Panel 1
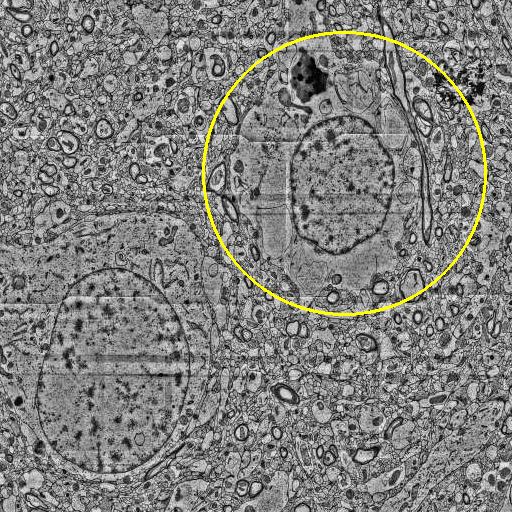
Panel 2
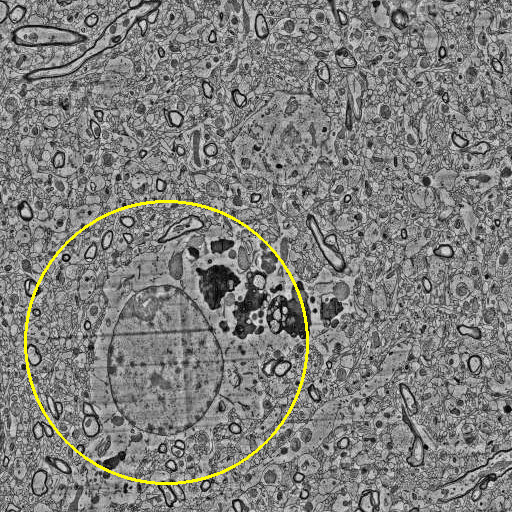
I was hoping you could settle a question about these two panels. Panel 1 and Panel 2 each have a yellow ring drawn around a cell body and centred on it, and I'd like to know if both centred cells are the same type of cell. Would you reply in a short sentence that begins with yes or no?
Yes, both are the same type of cell.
